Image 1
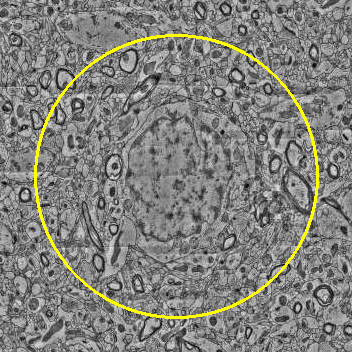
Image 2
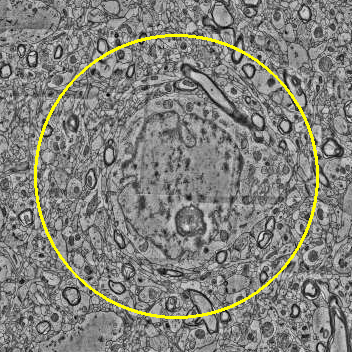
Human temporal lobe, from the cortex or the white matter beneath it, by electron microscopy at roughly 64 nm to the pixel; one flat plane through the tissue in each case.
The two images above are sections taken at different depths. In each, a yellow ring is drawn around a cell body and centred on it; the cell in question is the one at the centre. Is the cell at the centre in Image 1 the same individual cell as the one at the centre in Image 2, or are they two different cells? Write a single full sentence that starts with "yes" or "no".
Yes, the two rings belong to one cell, not to two.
